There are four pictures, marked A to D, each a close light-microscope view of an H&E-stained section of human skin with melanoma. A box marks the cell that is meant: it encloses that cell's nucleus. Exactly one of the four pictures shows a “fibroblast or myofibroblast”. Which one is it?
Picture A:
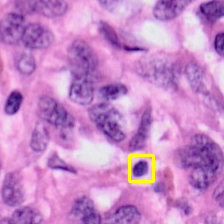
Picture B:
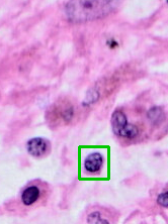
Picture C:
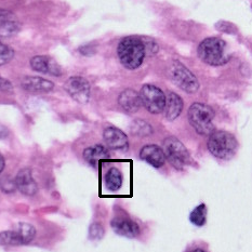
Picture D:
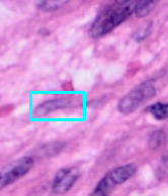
D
